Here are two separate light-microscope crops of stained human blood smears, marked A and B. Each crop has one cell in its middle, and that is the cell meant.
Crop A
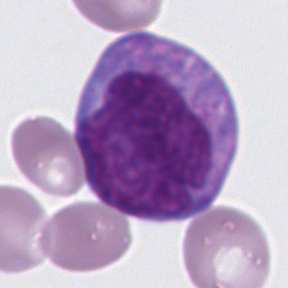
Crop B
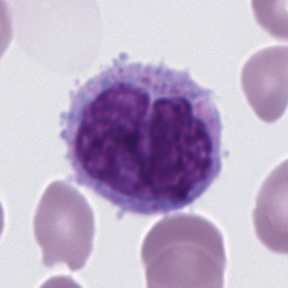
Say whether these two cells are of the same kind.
no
